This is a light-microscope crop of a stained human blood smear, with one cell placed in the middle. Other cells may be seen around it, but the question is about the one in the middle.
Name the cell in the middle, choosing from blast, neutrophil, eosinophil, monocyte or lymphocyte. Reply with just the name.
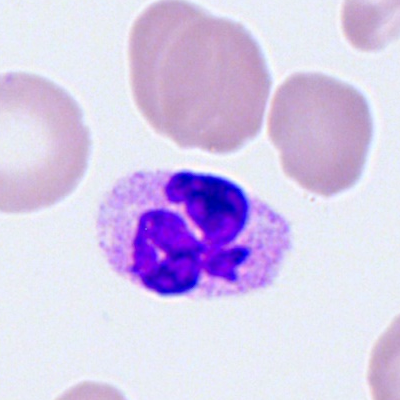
neutrophil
